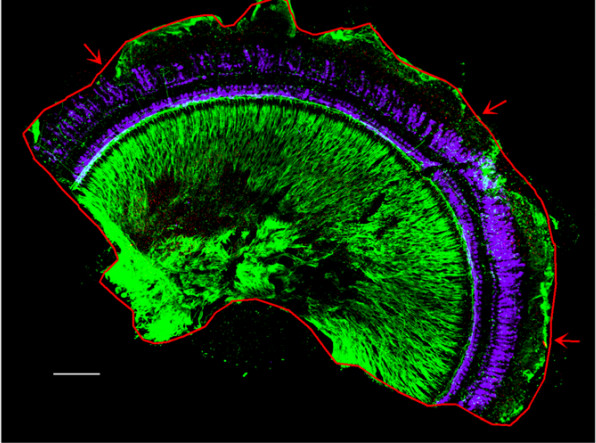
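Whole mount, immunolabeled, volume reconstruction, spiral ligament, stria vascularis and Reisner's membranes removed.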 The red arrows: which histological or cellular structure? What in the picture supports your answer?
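Edges of the tissue. The red arrows point at the outer boundary of the labelled tissue. Beyond the arrows the field is black.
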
